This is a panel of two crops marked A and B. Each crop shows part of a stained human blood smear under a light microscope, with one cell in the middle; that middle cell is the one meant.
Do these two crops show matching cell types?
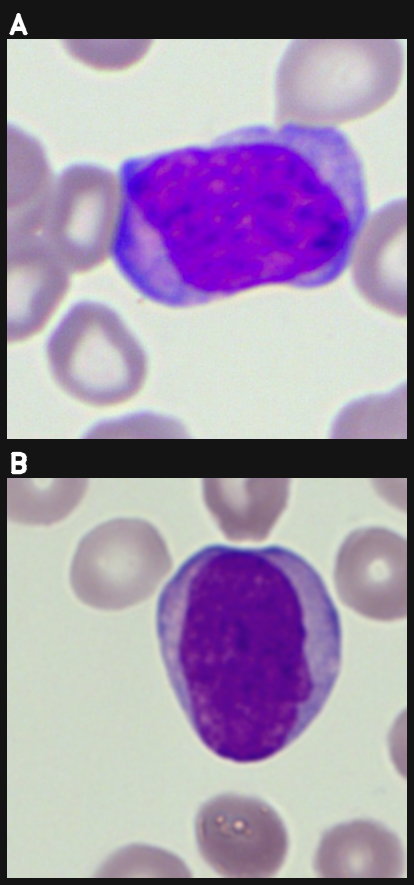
yes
